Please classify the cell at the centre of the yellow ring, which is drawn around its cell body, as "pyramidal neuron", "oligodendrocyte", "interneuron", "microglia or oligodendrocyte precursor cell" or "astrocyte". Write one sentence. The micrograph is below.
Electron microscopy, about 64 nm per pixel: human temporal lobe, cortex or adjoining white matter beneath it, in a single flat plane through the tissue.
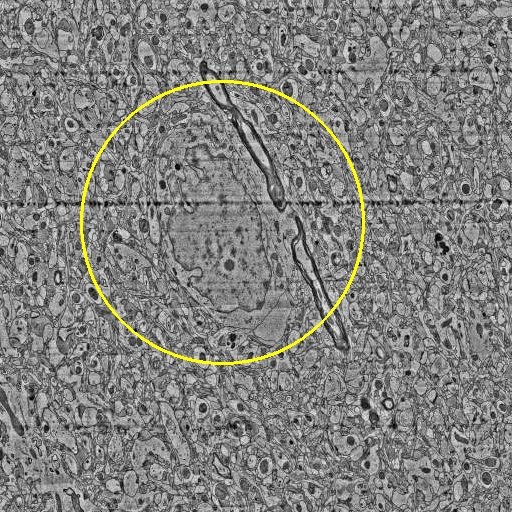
The cell at the ring's centre is classified as an interneuron.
